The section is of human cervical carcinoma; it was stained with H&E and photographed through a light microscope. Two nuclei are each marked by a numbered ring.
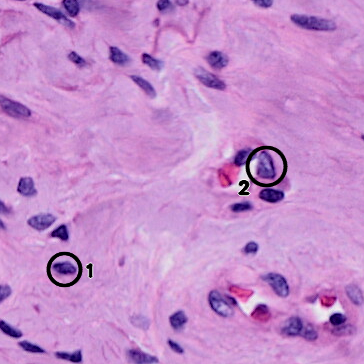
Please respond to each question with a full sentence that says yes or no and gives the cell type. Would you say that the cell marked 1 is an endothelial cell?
No, cell 1 should be read as a fibroblast instead of an endothelial cell.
